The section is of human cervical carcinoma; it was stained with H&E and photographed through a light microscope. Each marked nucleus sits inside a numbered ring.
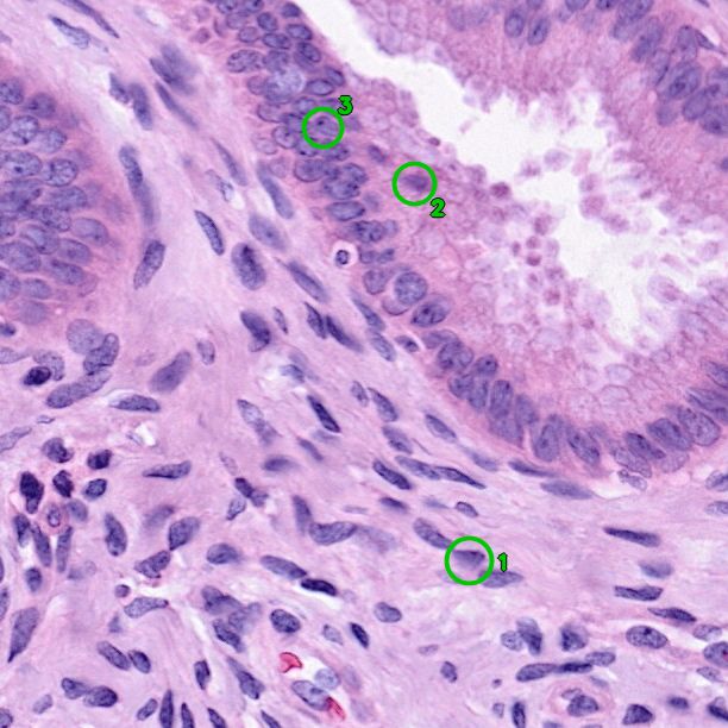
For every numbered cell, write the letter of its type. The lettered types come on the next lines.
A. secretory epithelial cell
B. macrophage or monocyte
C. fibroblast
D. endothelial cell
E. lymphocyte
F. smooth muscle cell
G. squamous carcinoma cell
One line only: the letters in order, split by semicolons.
C; A; A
